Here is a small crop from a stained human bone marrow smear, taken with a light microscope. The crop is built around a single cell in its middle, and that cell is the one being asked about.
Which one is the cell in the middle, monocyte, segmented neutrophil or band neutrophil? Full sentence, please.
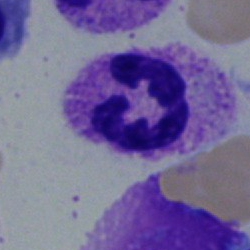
The cell at the central position in this crop is a segmented neutrophil.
